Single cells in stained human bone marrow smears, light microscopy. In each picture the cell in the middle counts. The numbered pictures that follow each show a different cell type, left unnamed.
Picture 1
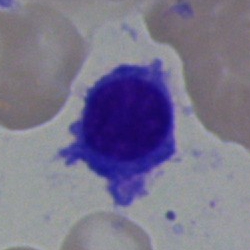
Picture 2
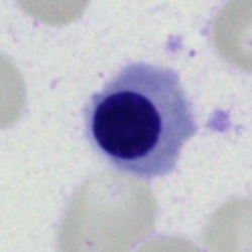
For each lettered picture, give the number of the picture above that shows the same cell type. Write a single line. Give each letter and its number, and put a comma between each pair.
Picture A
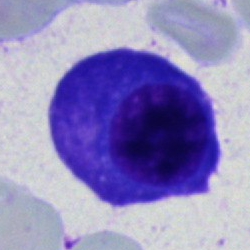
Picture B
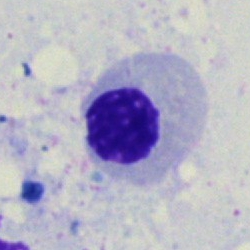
A 1, B 2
